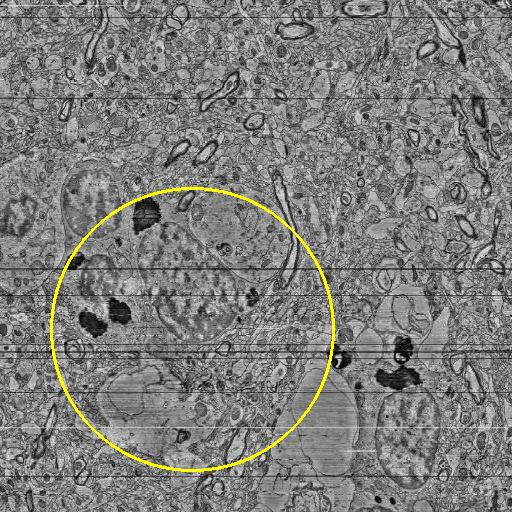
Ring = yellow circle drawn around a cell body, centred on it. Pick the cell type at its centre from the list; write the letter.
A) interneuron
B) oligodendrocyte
B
